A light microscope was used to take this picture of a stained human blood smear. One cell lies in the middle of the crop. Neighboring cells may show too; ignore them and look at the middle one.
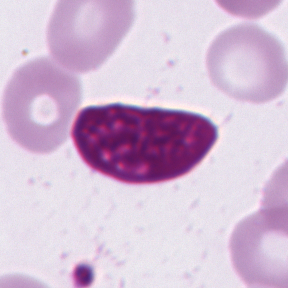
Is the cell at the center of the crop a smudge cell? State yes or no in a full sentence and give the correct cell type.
Yes, as for the central cell, it is a smudge cell.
